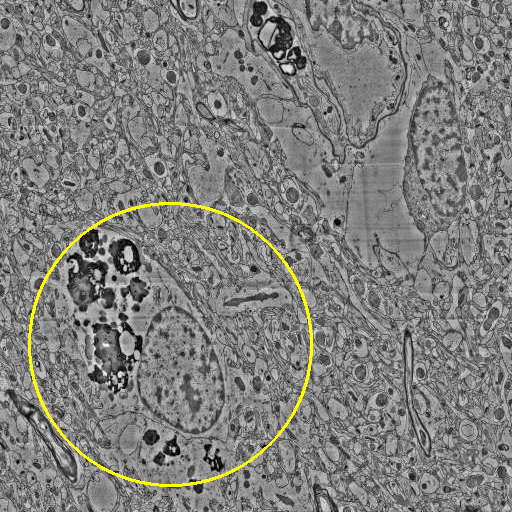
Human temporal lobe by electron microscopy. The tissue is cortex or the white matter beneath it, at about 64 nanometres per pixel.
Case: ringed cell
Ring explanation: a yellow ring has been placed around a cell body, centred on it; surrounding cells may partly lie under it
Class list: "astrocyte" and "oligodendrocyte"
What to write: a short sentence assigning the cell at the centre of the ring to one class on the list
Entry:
The cell at the ring's centre is an astrocyte.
